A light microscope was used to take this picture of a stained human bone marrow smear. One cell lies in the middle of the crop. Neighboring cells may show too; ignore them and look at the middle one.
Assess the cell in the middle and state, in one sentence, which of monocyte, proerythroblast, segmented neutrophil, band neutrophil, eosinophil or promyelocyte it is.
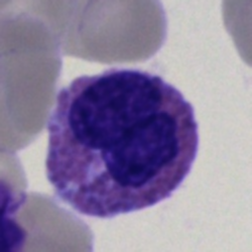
For this crop, the central cell is an eosinophil.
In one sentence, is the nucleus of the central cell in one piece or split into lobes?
Multiple nuclear lobes, two or more, can be counted in this cell.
